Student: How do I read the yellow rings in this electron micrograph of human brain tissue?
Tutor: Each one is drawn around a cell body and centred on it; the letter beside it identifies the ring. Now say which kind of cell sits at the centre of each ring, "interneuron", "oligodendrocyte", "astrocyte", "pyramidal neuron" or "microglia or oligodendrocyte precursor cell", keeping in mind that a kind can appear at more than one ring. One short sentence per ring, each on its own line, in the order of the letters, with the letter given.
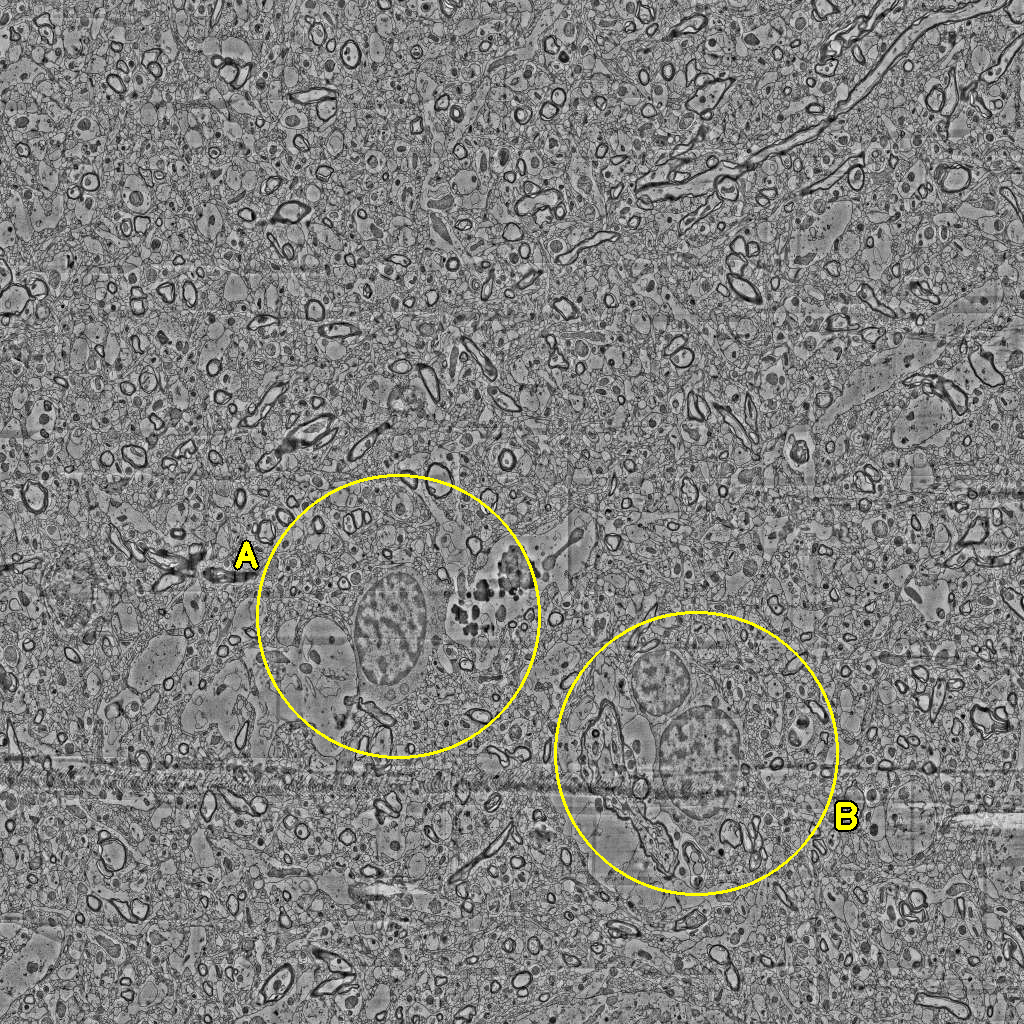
In the centre of ring A is an oligodendrocyte.
In the centre of ring B is an oligodendrocyte.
